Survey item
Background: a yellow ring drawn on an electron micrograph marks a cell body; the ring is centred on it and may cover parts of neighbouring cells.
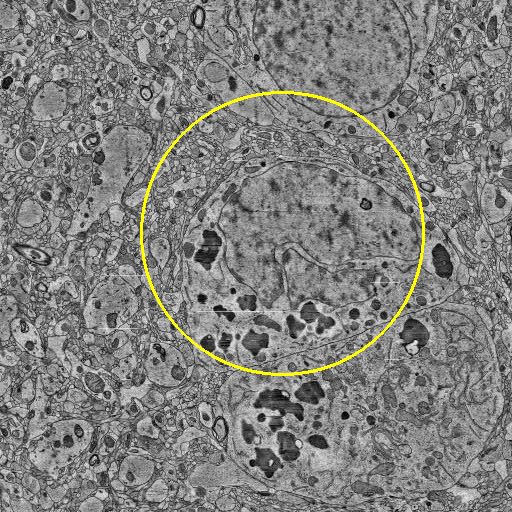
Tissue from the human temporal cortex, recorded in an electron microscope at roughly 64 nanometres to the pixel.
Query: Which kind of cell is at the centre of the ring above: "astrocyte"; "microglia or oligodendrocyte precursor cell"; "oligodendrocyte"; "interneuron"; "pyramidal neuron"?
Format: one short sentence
The cell in the middle of the ring is an interneuron.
